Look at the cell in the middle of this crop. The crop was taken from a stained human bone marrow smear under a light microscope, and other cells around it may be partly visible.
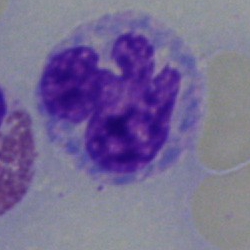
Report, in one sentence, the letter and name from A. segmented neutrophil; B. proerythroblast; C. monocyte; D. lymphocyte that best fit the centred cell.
In this crop the central cell is a monocyte, which option C correctly states.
